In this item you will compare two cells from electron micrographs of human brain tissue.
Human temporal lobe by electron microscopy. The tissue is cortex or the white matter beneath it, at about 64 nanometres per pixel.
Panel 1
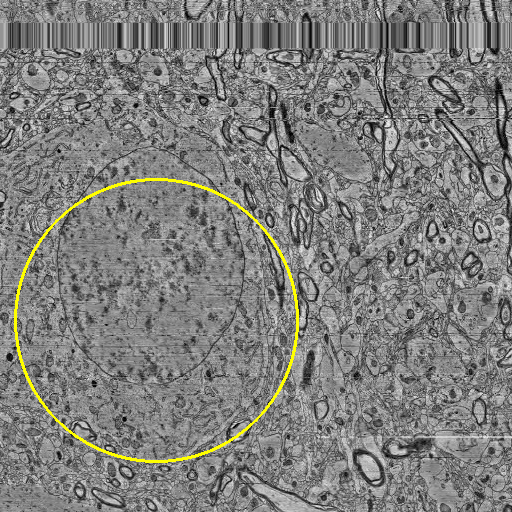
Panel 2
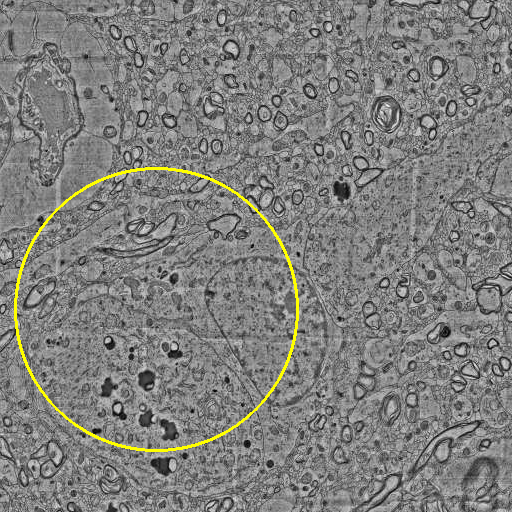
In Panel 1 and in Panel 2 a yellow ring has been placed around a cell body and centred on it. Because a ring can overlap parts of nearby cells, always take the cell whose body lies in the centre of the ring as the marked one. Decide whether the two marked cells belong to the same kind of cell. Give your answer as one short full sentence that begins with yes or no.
No, the two marked cells belong to two kinds of cell.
